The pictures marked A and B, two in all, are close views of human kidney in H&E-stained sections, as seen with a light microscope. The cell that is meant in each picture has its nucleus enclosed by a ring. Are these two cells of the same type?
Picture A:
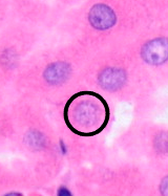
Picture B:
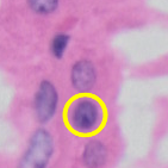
yes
